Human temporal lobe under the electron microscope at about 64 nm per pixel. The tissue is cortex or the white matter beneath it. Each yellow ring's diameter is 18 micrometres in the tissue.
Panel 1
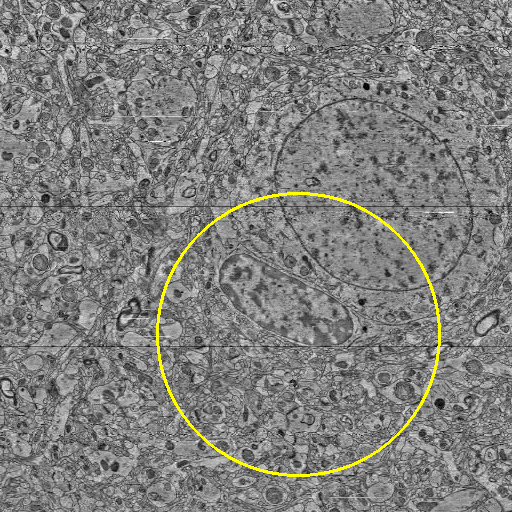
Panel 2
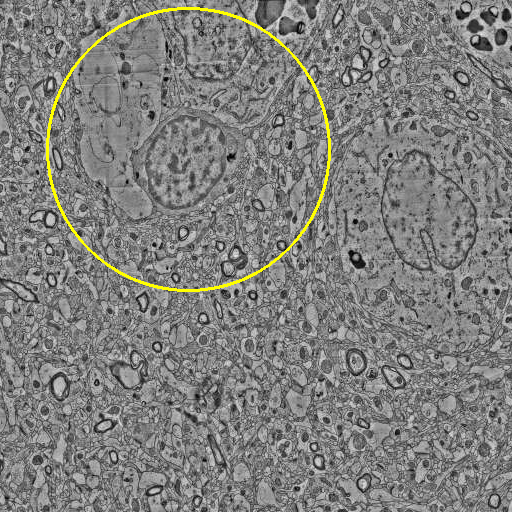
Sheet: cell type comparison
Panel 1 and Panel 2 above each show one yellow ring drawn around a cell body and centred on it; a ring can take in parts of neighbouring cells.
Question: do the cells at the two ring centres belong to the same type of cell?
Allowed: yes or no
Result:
no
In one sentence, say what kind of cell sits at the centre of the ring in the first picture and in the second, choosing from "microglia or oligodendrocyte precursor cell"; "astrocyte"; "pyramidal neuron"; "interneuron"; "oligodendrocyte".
The first picture's ringed cell is a microglial cell or oligodendrocyte precursor cell, while the second picture's is an oligodendrocyte.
